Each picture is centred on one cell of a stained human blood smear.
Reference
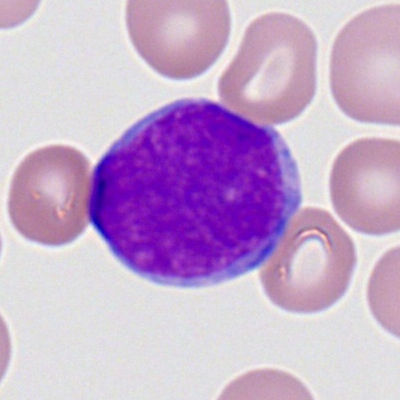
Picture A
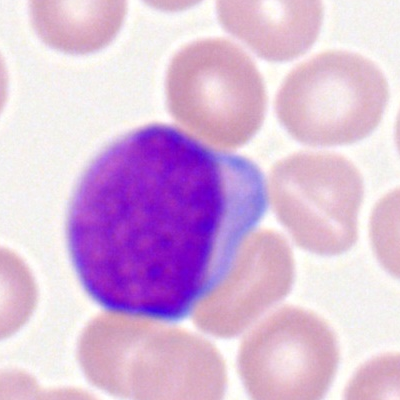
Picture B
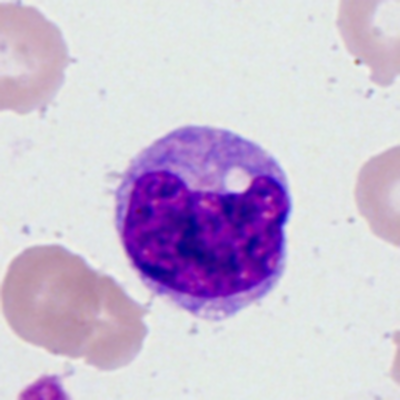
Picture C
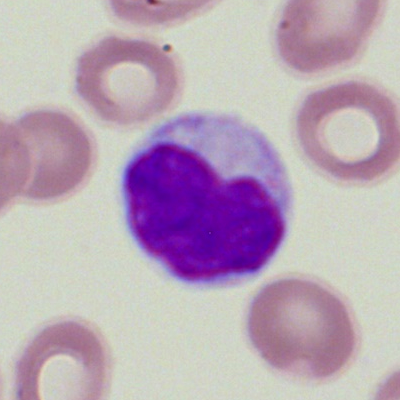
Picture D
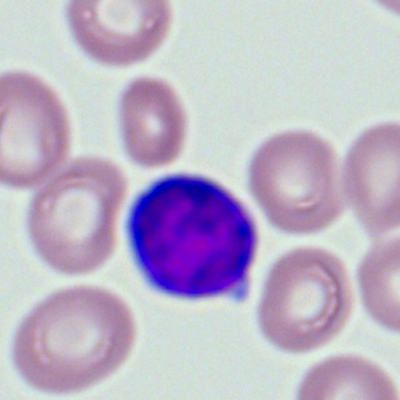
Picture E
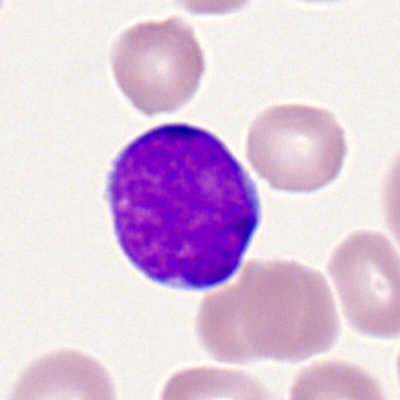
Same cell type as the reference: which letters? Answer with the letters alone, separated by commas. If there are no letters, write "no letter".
A, E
